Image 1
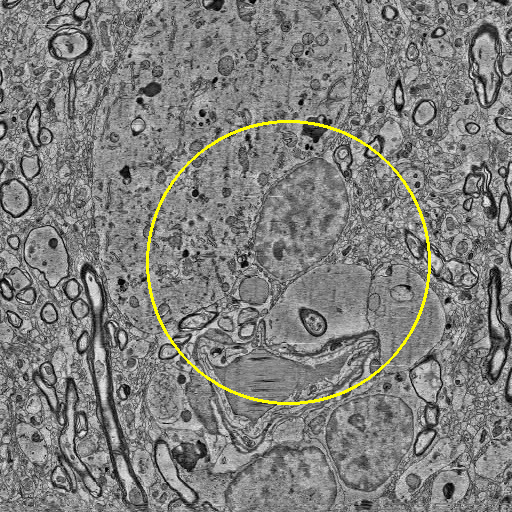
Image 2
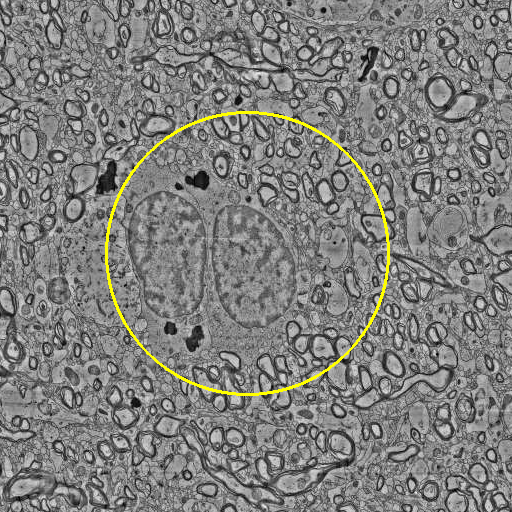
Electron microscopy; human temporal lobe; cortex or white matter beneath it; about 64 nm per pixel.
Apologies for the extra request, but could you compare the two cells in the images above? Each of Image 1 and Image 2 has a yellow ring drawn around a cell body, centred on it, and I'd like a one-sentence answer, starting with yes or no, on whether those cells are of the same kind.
Yes, both cells are of the same kind.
